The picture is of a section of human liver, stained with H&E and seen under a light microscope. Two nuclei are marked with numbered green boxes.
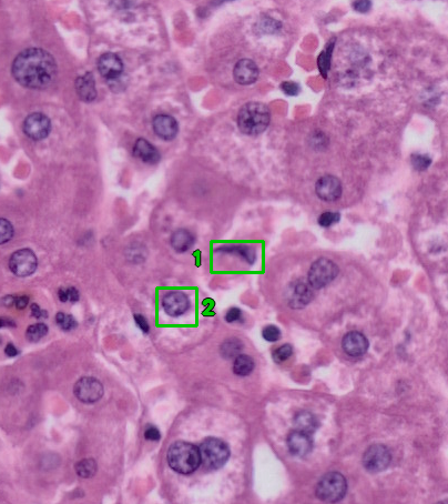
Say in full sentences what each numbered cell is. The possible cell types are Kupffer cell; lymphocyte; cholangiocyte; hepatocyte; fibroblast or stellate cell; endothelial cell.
Cell 1 is a Kupffer cell and cell 2 is a hepatocyte.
